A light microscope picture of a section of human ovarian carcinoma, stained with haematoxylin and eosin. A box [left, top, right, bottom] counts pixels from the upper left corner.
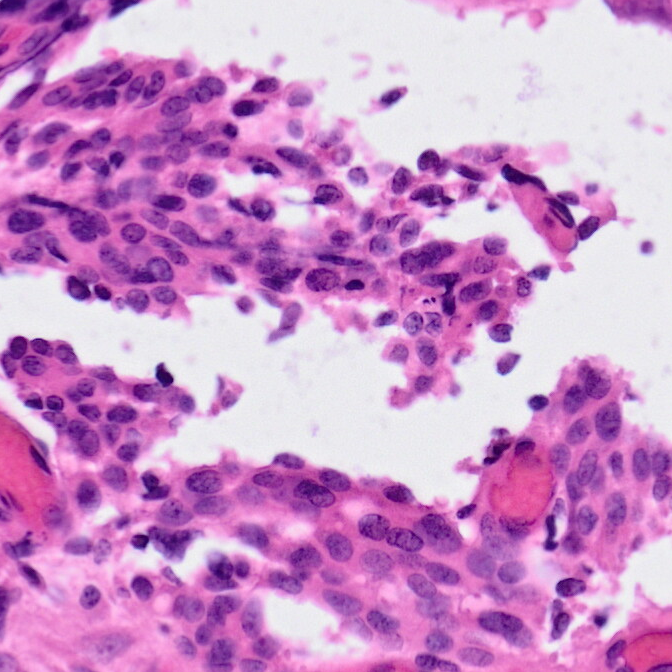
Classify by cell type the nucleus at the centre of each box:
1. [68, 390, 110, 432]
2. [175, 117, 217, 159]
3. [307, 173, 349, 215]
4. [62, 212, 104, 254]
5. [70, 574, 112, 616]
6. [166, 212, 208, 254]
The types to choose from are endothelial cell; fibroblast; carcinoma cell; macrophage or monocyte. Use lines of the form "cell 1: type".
cell 1: carcinoma cell
cell 2: carcinoma cell
cell 3: macrophage or monocyte
cell 4: carcinoma cell
cell 5: macrophage or monocyte
cell 6: carcinoma cell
